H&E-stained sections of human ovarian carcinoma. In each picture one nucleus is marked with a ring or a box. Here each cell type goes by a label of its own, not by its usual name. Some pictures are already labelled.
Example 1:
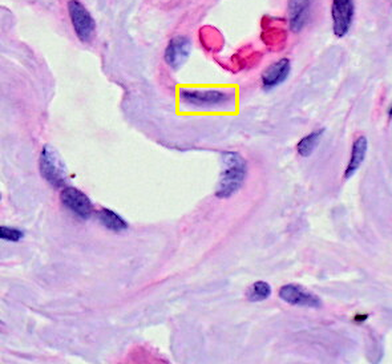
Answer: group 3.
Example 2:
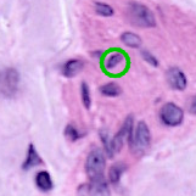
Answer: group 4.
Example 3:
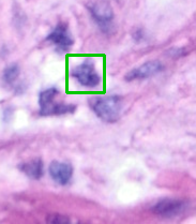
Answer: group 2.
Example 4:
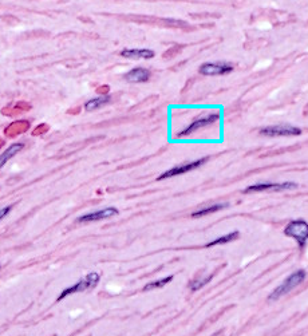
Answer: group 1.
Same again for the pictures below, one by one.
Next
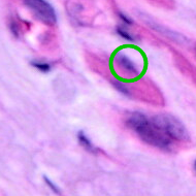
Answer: group 4.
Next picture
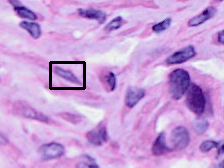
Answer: group 1.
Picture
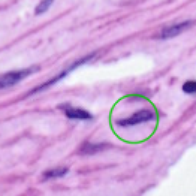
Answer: group 1.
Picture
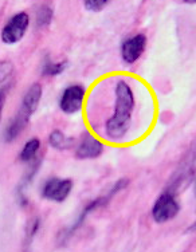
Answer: group 2.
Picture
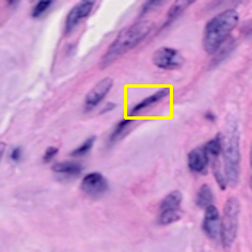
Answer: group 4.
